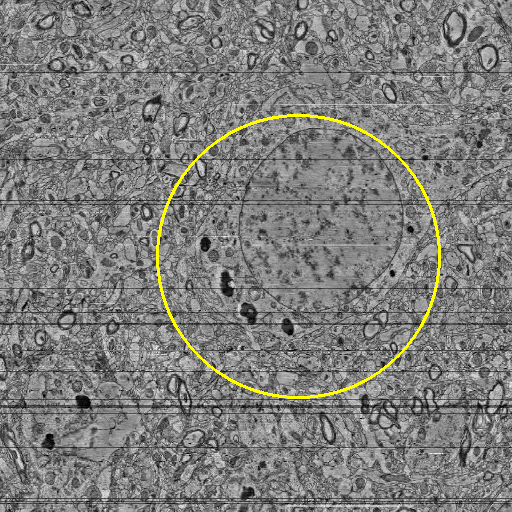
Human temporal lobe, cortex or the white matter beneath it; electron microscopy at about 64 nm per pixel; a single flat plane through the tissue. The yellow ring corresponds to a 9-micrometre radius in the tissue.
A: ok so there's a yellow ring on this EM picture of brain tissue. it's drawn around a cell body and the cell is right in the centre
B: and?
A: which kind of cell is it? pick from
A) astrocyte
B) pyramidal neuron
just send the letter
B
